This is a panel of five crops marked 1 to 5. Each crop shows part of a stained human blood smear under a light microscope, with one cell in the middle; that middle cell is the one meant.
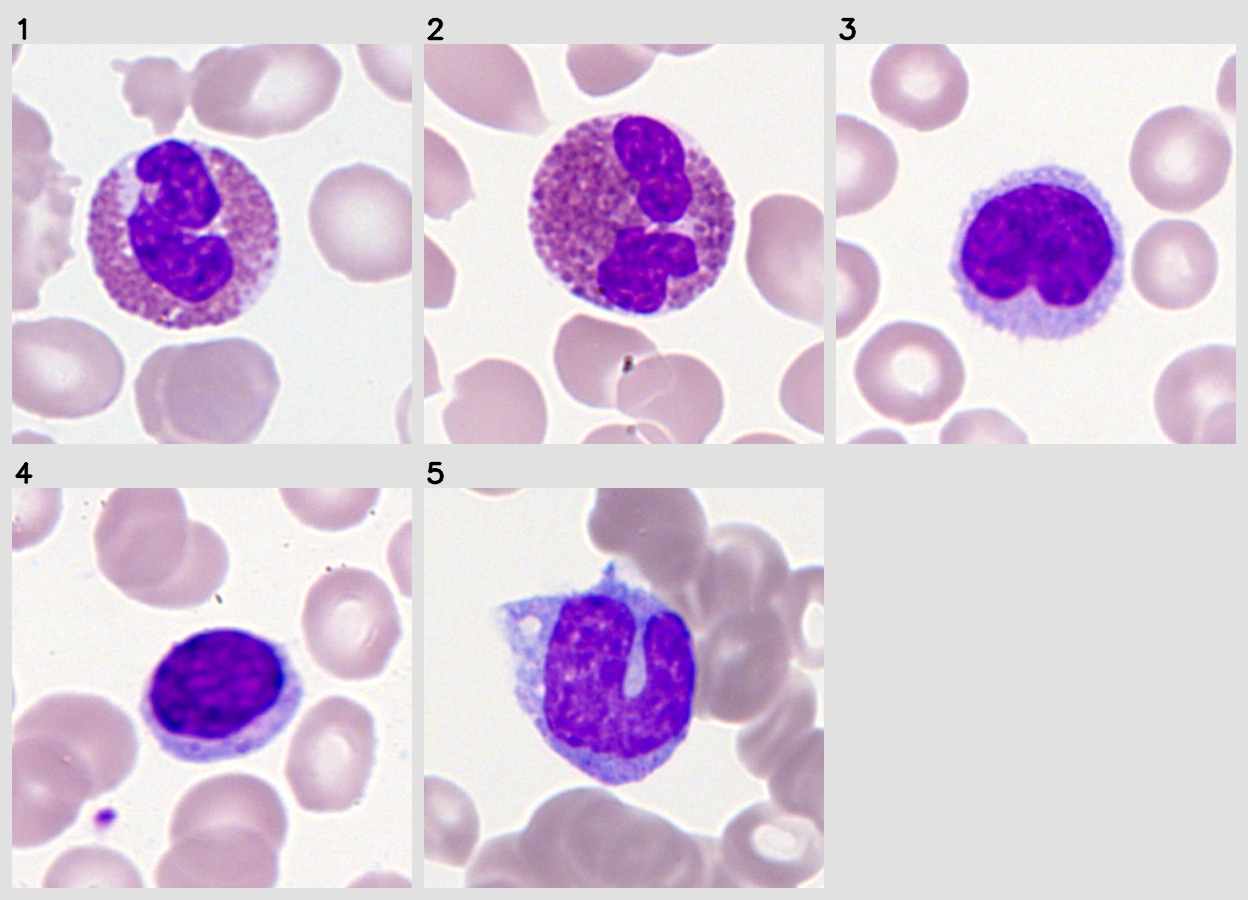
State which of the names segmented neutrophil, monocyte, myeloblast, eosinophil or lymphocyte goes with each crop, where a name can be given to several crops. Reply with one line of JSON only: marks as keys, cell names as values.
{"1": "eosinophil", "2": "eosinophil", "3": "lymphocyte", "4": "lymphocyte", "5": "monocyte"}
